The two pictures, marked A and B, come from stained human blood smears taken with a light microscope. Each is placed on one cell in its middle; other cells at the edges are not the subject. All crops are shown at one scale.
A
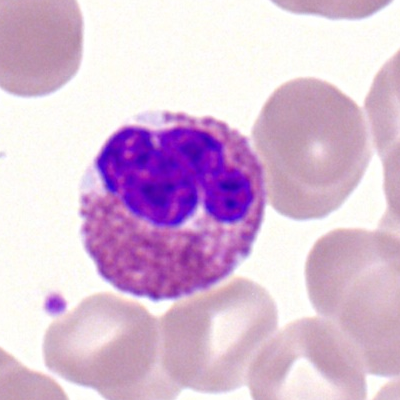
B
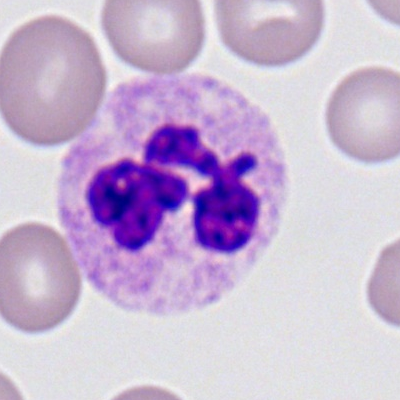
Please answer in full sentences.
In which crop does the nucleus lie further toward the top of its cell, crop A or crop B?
The nucleus in crop A lies further toward the top of its cell.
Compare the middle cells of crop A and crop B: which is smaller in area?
The cell in crop A is smaller; the one in crop B has about 1.5 times its area.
